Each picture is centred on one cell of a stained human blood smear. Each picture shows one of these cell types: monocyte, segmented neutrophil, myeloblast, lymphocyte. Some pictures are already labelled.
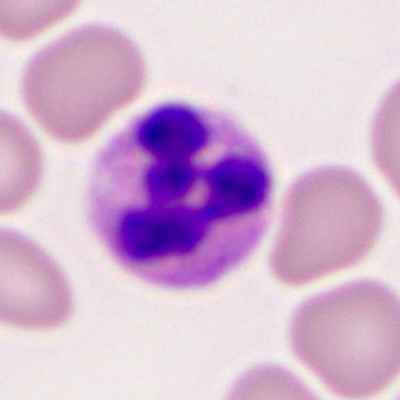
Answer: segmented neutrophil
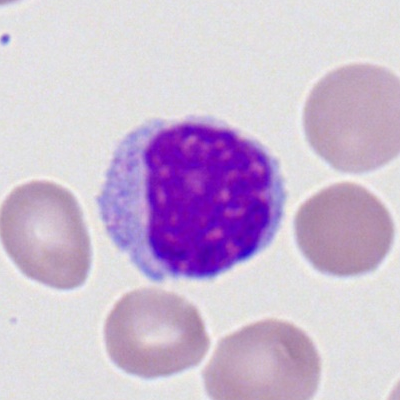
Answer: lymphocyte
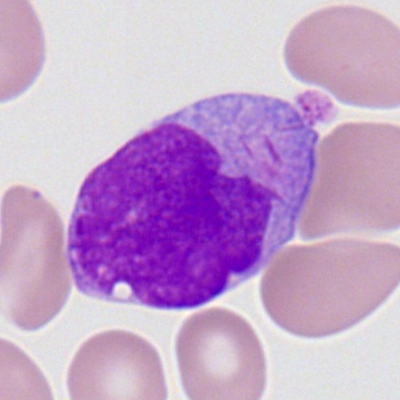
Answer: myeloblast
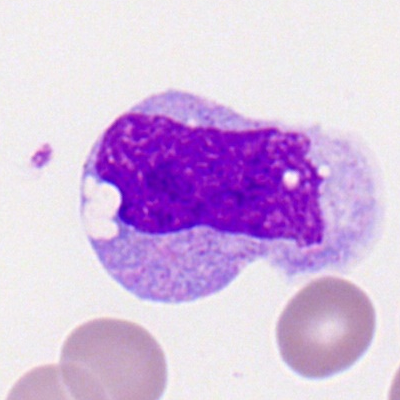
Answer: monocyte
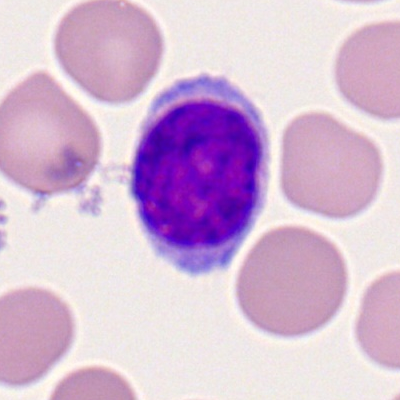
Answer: lymphocyte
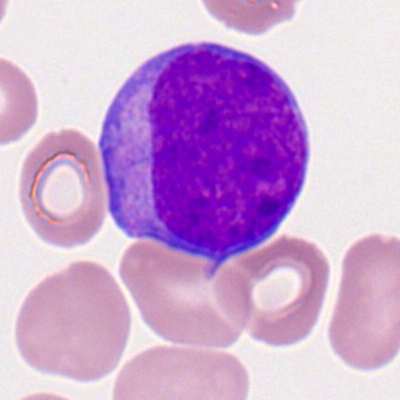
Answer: myeloblast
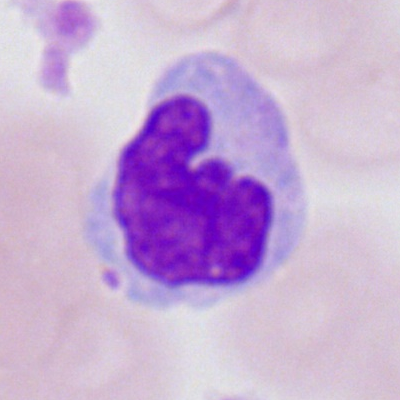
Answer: monocyte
